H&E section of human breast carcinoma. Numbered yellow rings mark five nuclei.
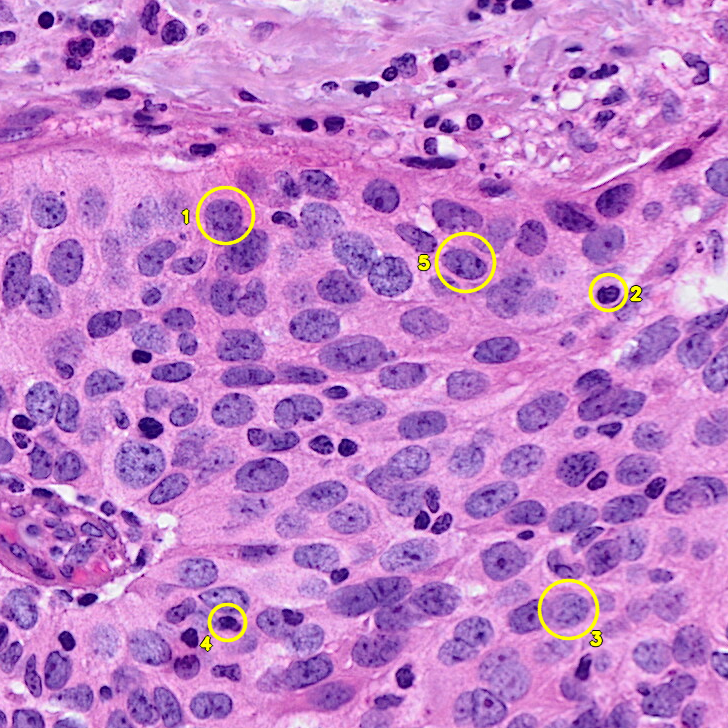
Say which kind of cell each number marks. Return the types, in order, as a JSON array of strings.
["carcinoma cell", "lymphocyte", "carcinoma cell", "lymphocyte", "carcinoma cell"]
